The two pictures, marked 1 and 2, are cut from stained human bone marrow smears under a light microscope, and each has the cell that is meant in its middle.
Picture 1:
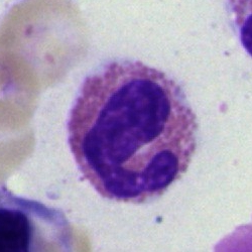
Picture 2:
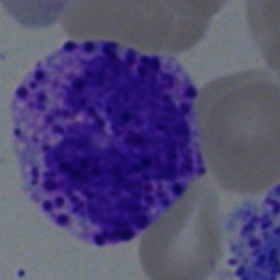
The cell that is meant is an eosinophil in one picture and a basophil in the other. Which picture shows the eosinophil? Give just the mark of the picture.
1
